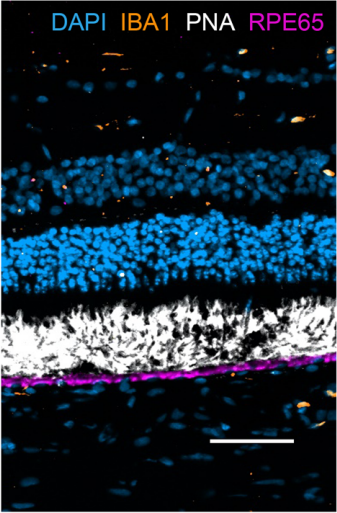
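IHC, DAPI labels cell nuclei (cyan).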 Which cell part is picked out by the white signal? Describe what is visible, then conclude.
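A thick band of white, vertically streaked material lies between the dense band of nuclei and the magenta line.
Cone photoreceptor outer segment.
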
